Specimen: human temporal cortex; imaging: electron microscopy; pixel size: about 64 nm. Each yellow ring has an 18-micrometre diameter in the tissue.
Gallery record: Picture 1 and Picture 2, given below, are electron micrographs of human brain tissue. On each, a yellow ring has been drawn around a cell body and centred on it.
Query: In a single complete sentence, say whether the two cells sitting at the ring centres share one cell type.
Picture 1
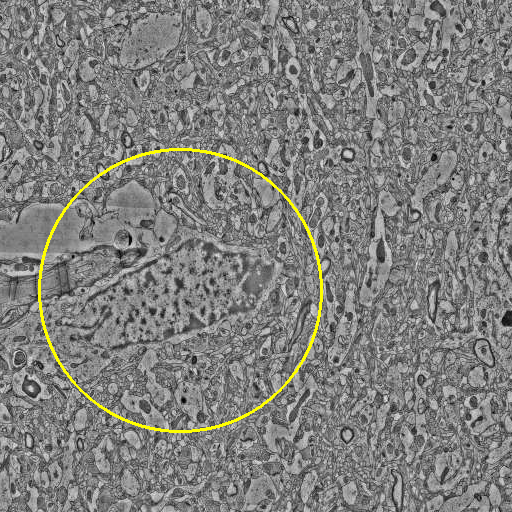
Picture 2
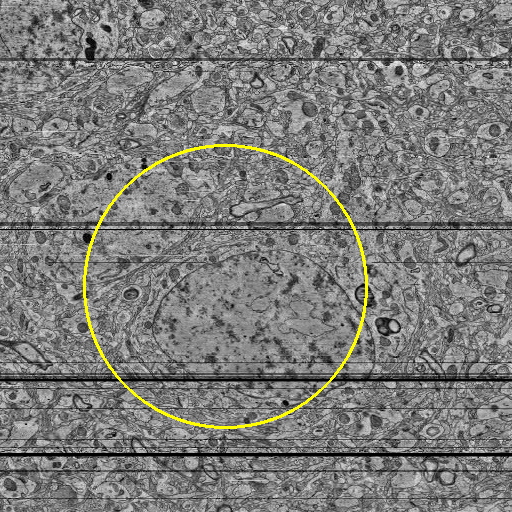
No, in the two pictures the cells at the rings' centres are of two separate types.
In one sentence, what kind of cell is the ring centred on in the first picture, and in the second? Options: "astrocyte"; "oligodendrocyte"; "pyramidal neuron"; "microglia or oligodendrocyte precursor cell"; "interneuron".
The cell at the centre of the second ring is a pyramidal neuron; the first ring's cell is a microglial cell or oligodendrocyte precursor cell.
